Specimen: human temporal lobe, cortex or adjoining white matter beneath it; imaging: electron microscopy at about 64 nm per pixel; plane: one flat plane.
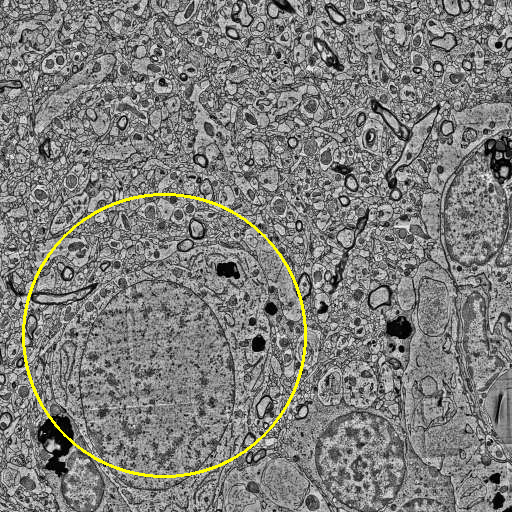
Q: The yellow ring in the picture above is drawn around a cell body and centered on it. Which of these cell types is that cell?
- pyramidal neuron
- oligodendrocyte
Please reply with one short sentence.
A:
The cell body at the ring's center belongs to a pyramidal neuron.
